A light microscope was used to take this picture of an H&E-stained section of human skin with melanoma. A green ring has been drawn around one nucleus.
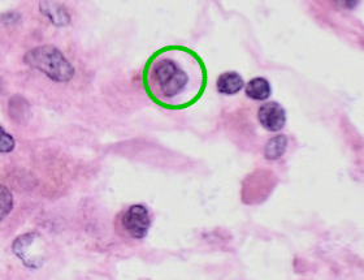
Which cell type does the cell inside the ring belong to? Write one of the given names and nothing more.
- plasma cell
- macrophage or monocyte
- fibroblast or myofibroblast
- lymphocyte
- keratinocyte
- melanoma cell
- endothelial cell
macrophage or monocyte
